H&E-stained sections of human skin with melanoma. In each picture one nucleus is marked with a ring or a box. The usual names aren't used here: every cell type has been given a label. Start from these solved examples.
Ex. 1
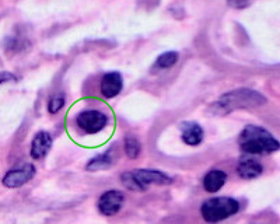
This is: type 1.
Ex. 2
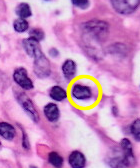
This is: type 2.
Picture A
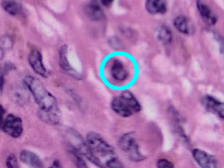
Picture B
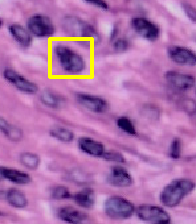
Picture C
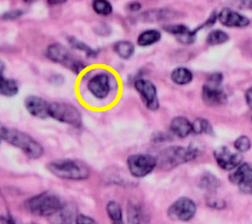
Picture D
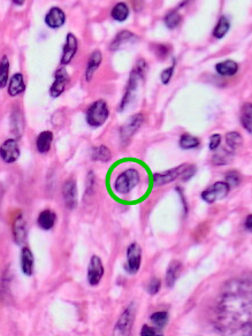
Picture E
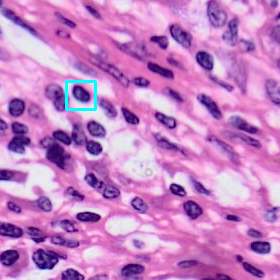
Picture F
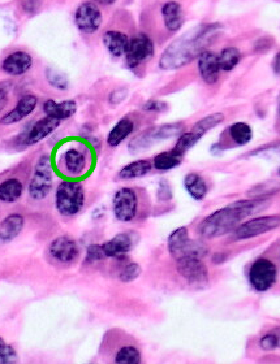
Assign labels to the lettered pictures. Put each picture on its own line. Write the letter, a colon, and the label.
A: type 1.
B: type 2.
C: type 2.
D: type 2.
E: type 2.
F: type 1.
